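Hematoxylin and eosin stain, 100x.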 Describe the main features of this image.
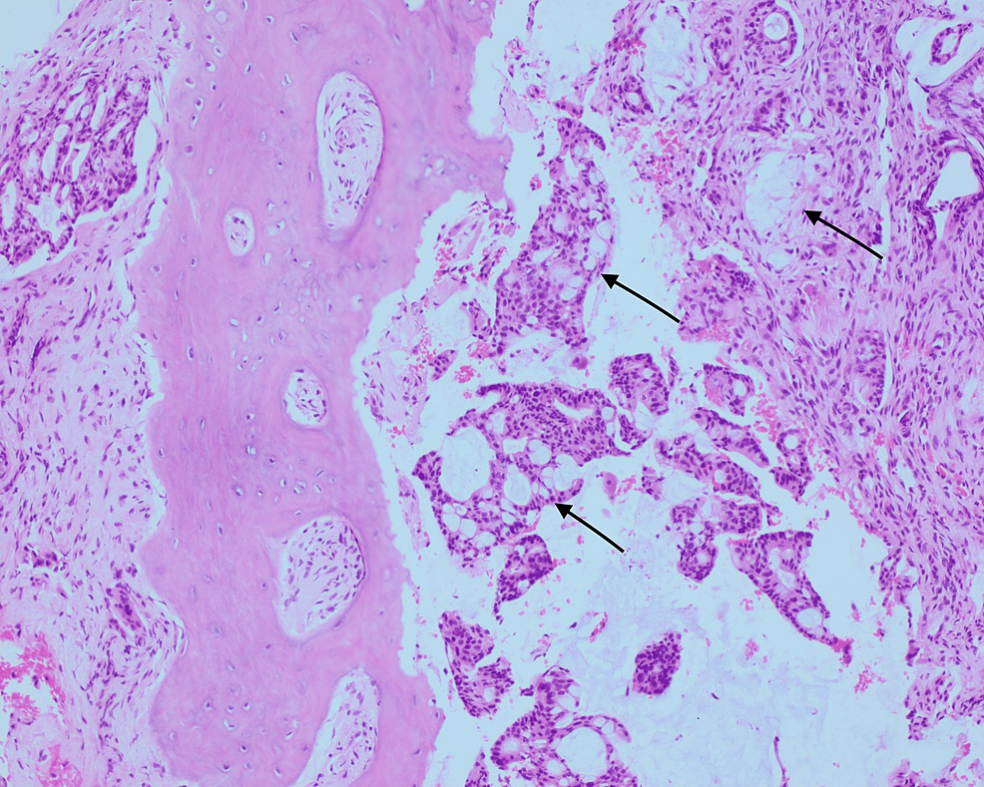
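Clusters and sheets of neoplastic epithelial cells of an adenocarcinoma grow in glandular and cribriform arrangements, with crowded, dark purple, enlarged nuclei. Many clusters contain round clear to pale bluish cytoplasmic vacuoles, giving a bubbly, sieve-like appearance, and pale bluish material lies between the fragments. The tumour clusters lie in a cellular stroma of spindle-shaped cells with scattered red blood cells. To the left runs a broad, pale pink band of dense matrix with scalloped edges, holding scattered small cells in lacunae and a few stroma-filled spaces.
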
